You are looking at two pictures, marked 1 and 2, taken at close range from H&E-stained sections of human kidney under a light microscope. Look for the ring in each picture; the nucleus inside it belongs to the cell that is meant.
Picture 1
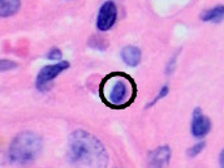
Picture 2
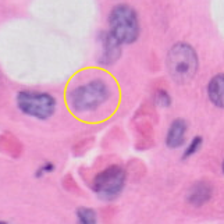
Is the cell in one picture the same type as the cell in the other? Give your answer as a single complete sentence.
No, picture 1 shows an endothelial cell and picture 2 shows a “loop of Henle or distal tubule cell”.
